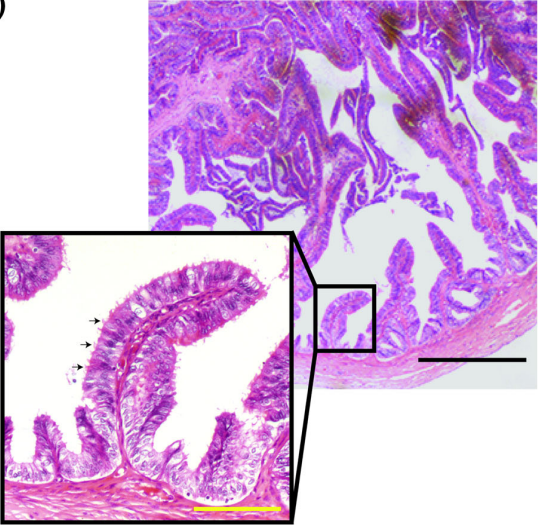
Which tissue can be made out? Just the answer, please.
Ampulla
